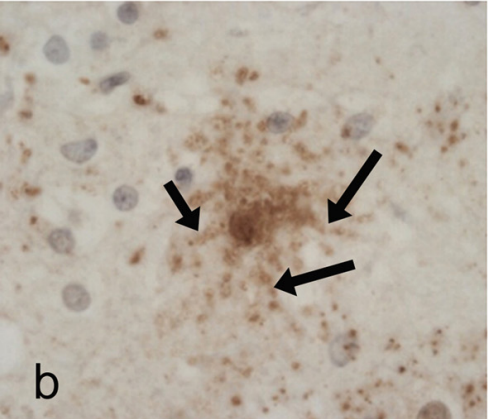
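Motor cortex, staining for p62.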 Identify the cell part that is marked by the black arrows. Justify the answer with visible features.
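A central brown-stained cell body is surrounded by radiating brown granular staining. The arrows point at granular brown material extending away from the cell body. The answer: processes.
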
